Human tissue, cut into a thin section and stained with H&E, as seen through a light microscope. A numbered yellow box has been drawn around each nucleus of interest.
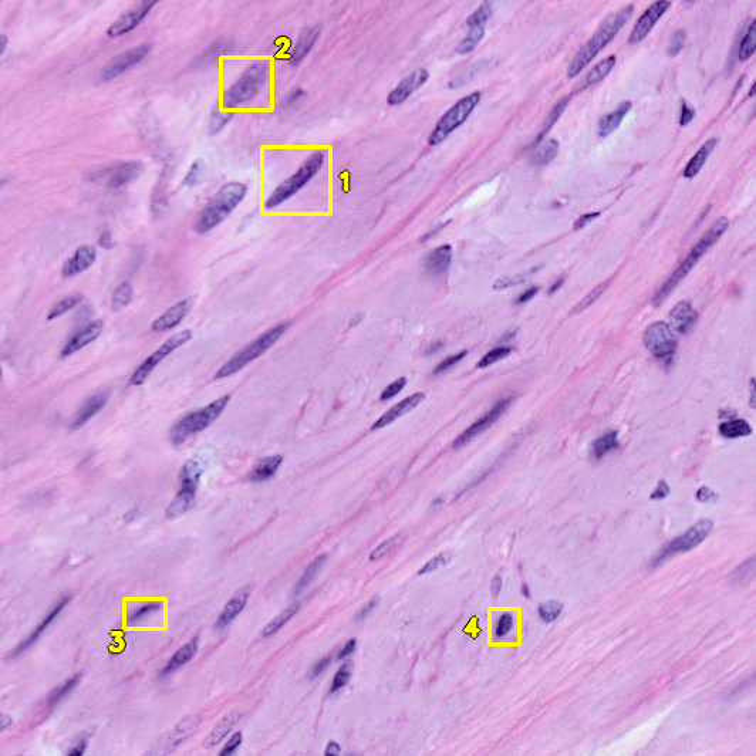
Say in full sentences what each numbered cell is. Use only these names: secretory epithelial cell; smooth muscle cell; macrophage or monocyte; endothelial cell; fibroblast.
Cells 1, 3 and 4 are fibroblasts. Cell 2 is a smooth muscle cell.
